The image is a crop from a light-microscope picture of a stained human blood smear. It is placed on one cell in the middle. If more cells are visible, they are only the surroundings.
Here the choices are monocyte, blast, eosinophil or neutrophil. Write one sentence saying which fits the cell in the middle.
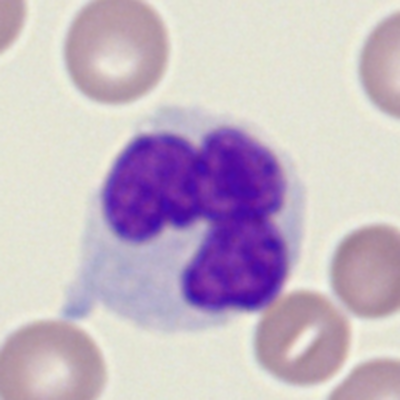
For this crop, the cell in the middle is a monocyte.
